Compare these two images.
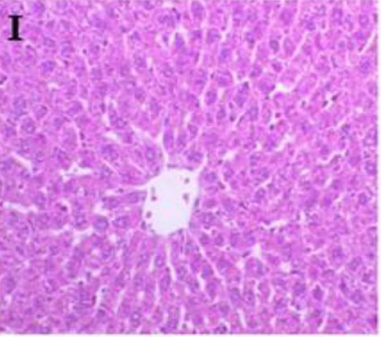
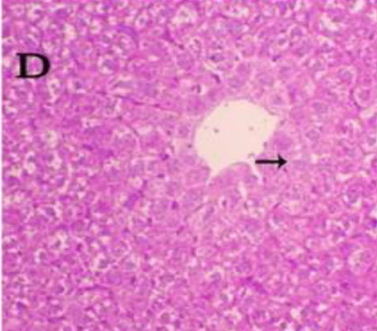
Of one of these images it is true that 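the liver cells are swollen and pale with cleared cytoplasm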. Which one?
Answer: The second image.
